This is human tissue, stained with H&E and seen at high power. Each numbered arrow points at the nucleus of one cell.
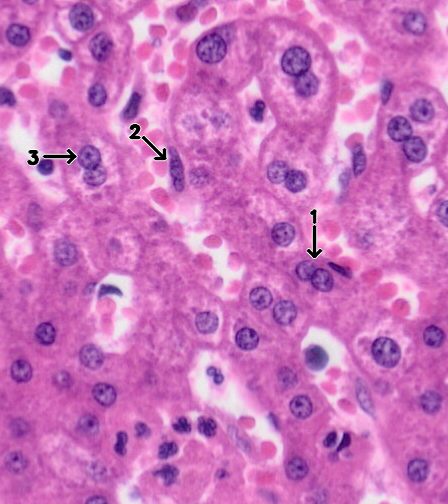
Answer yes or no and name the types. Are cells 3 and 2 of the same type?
No, that is not right: cell 3 is a hepatocyte and cell 2 is a Kupffer cell.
